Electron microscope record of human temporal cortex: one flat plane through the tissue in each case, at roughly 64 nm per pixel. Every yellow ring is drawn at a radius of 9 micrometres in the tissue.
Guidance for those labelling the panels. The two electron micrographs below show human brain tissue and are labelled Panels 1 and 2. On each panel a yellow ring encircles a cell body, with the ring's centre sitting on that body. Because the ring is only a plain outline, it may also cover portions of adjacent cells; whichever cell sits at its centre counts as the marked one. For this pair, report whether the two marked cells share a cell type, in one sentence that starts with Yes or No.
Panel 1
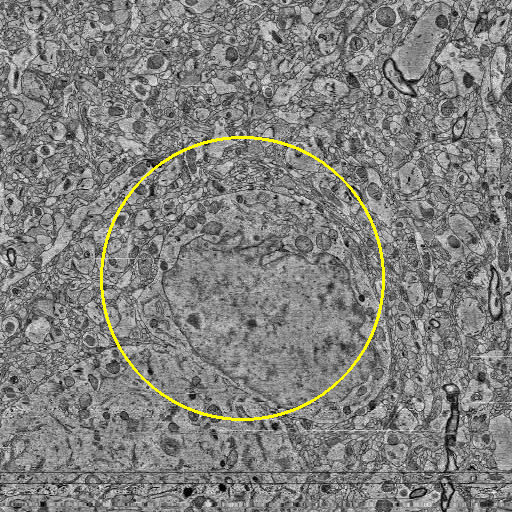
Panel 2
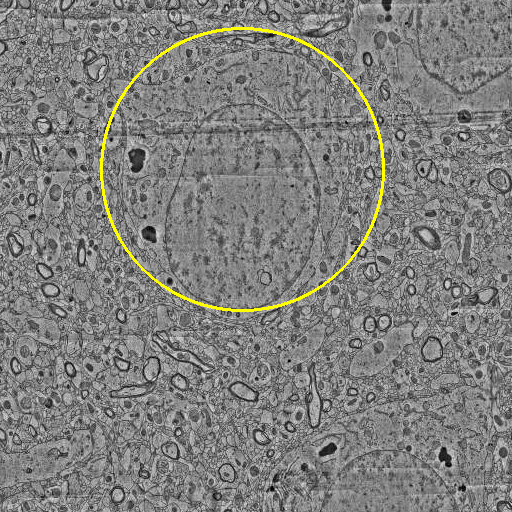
No, in Panel 1 and Panel 2 the marked cells at the ring centres are of two types.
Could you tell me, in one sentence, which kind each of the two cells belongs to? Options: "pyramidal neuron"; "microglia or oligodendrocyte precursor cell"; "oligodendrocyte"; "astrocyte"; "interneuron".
At the centre of the first ring sits an interneuron, and at the centre of the second sits a pyramidal neuron.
